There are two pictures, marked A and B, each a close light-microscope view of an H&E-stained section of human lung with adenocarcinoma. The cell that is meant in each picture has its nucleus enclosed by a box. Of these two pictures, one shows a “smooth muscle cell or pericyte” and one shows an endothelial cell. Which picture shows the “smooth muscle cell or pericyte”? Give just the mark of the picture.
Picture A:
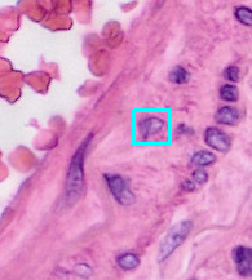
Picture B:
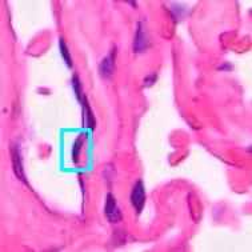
A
